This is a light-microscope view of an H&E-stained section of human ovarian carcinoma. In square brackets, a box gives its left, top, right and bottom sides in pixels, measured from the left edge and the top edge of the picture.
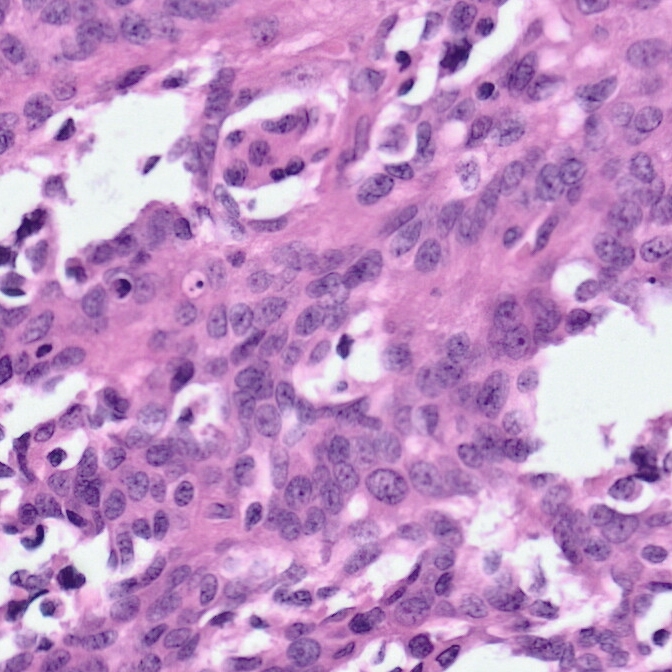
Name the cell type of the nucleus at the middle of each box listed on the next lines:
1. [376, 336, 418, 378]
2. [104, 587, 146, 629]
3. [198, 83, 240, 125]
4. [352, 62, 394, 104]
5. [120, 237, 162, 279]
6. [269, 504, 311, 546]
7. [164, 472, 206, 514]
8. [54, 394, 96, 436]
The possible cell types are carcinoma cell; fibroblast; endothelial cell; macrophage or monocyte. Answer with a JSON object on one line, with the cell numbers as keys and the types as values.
{"1": "carcinoma cell", "2": "carcinoma cell", "3": "carcinoma cell", "4": "endothelial cell", "5": "carcinoma cell", "6": "carcinoma cell", "7": "macrophage or monocyte", "8": "macrophage or monocyte"}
